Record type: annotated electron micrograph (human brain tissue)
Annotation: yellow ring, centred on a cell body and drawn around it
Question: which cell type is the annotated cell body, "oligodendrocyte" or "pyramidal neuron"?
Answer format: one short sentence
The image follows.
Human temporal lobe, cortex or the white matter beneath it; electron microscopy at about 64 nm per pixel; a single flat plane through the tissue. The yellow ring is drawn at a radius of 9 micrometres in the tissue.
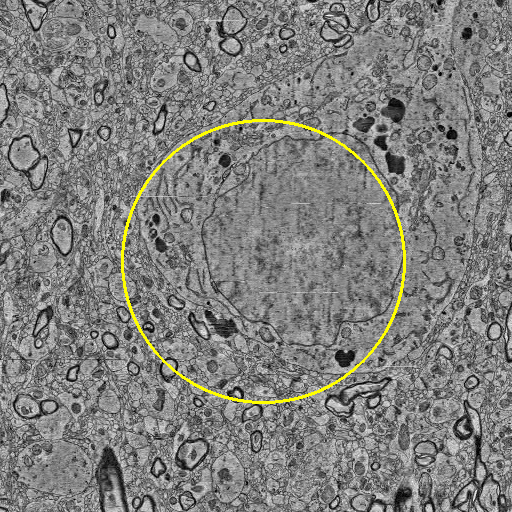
The annotated cell body is that of a pyramidal neuron.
